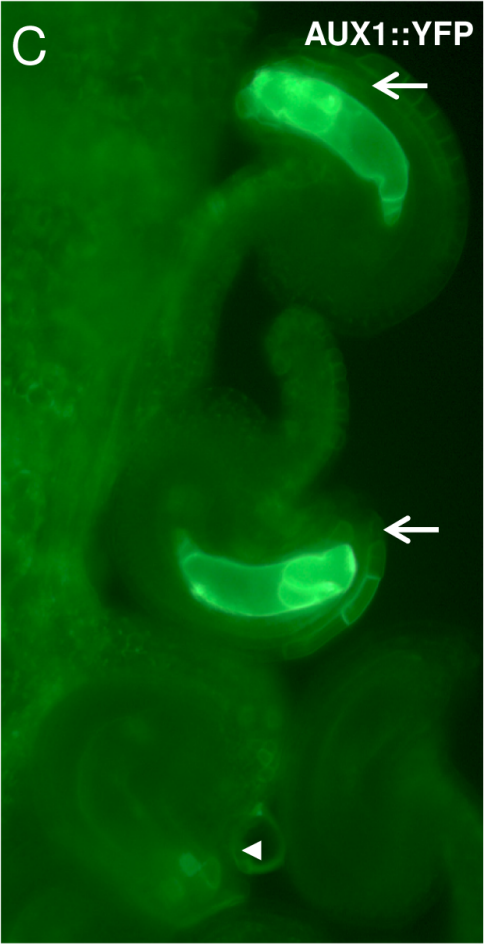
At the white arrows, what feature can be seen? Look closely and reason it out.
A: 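Ovules. The arrows point at curved oval bodies with a bright green elongated sac inside. Several such curved bodies lie side by side.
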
